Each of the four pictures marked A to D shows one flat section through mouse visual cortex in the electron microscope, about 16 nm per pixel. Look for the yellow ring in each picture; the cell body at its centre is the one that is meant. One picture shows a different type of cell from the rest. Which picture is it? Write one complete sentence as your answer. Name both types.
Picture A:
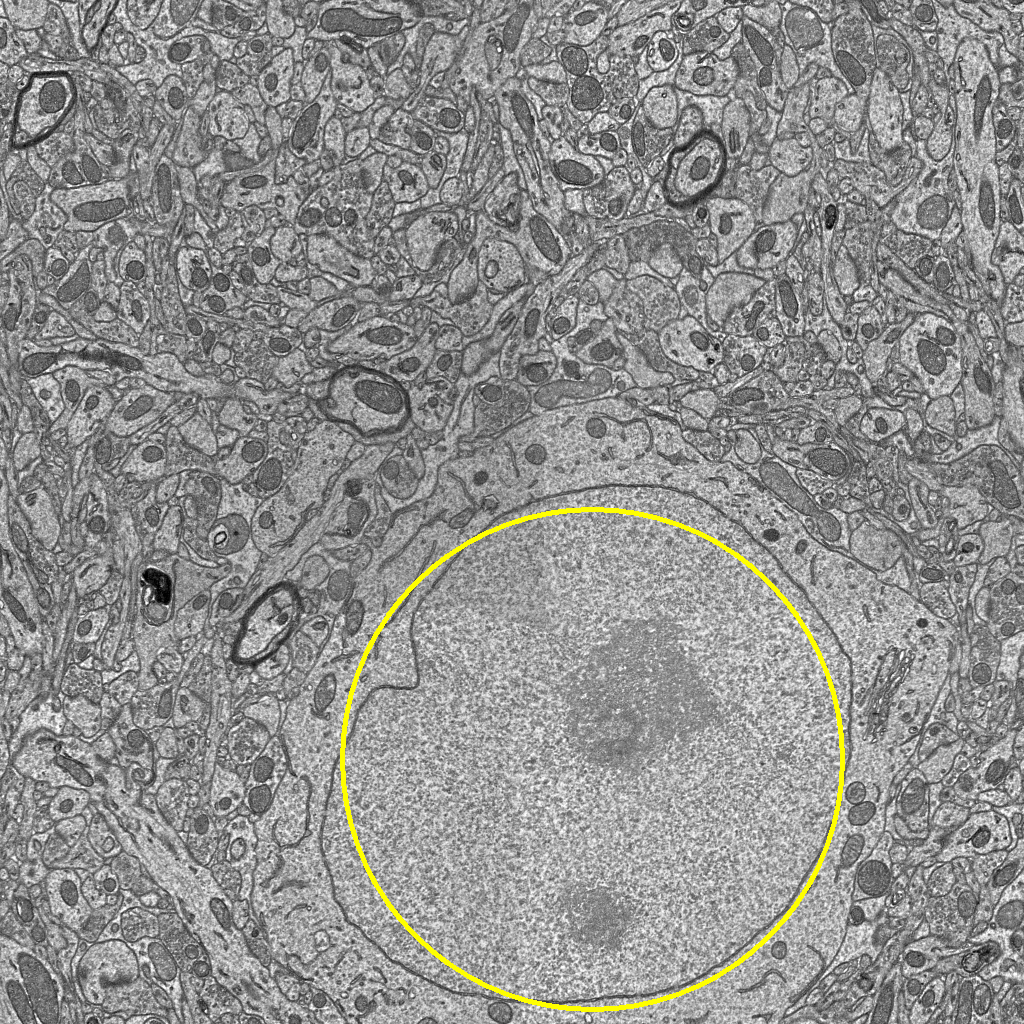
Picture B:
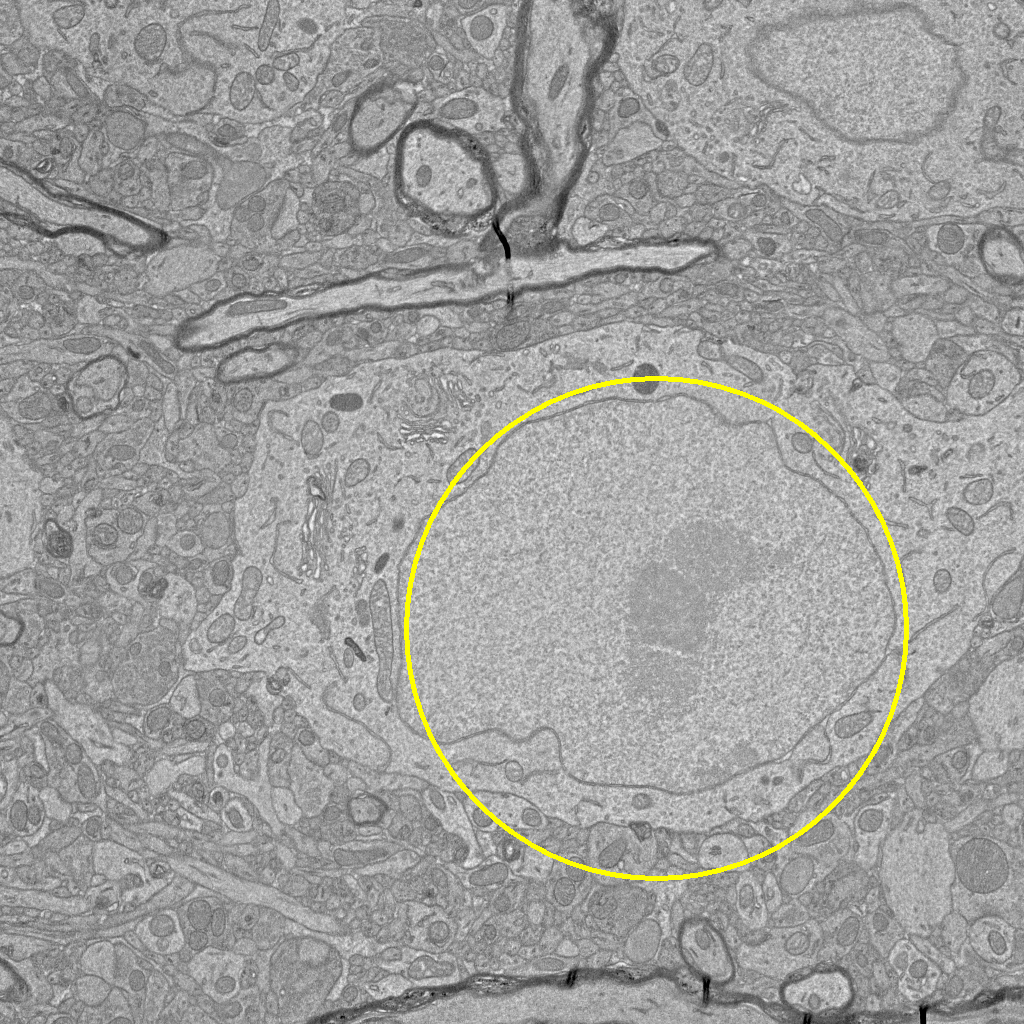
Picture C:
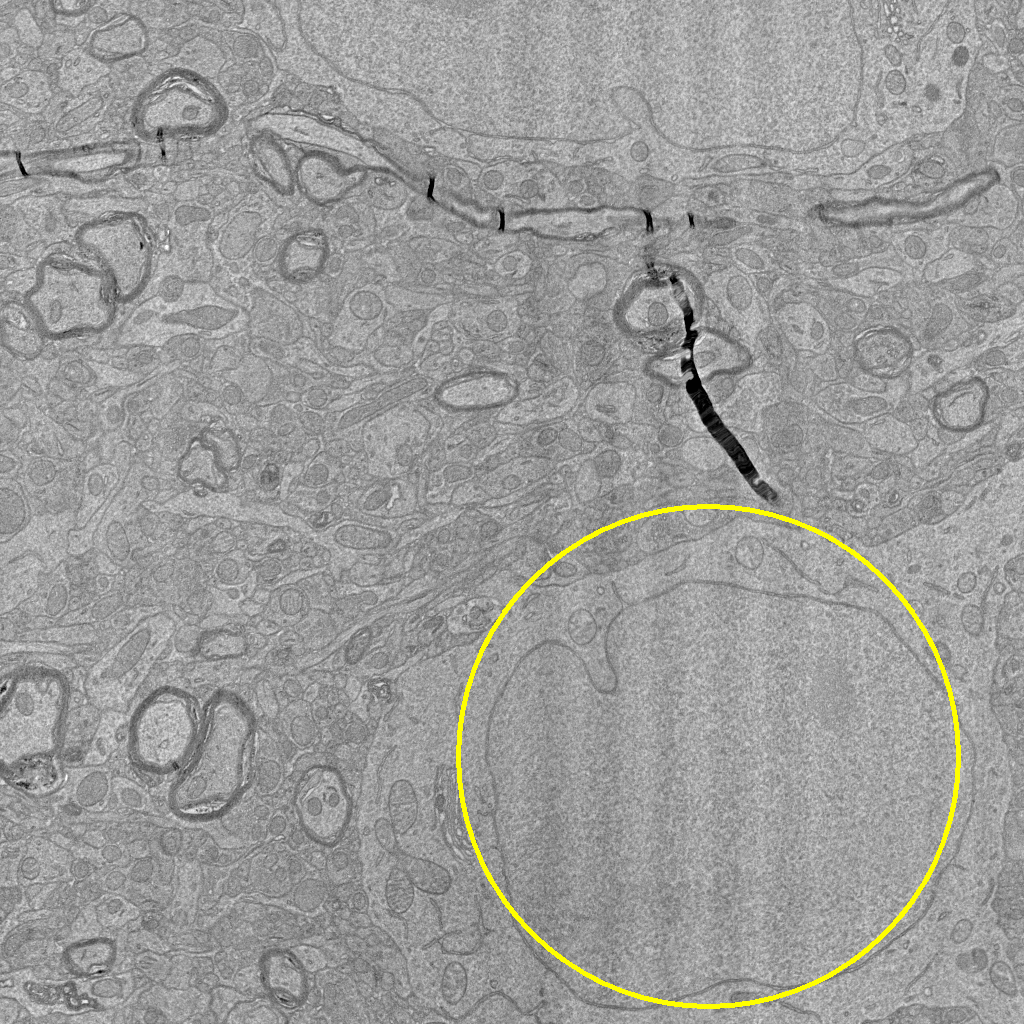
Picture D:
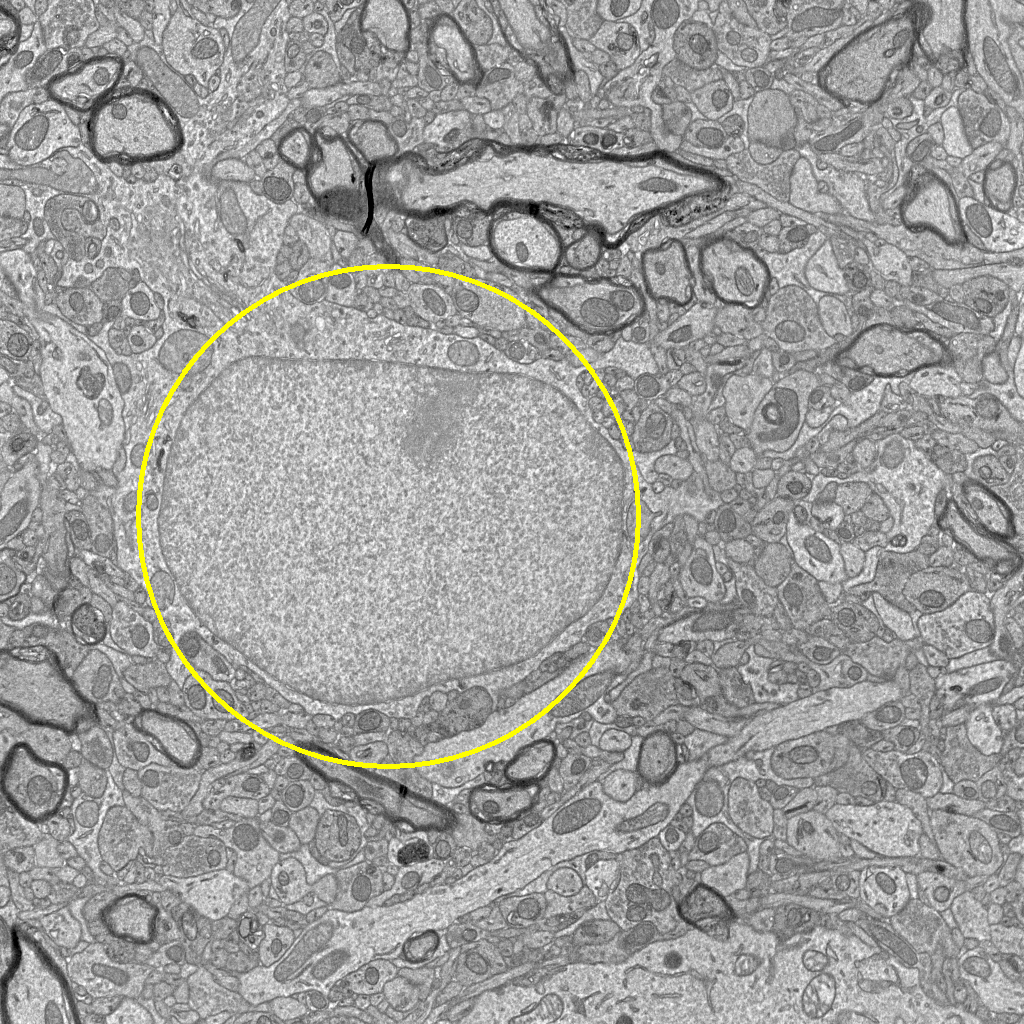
Unlike the rest, which show excitatory neurons, picture D shows an astrocyte.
